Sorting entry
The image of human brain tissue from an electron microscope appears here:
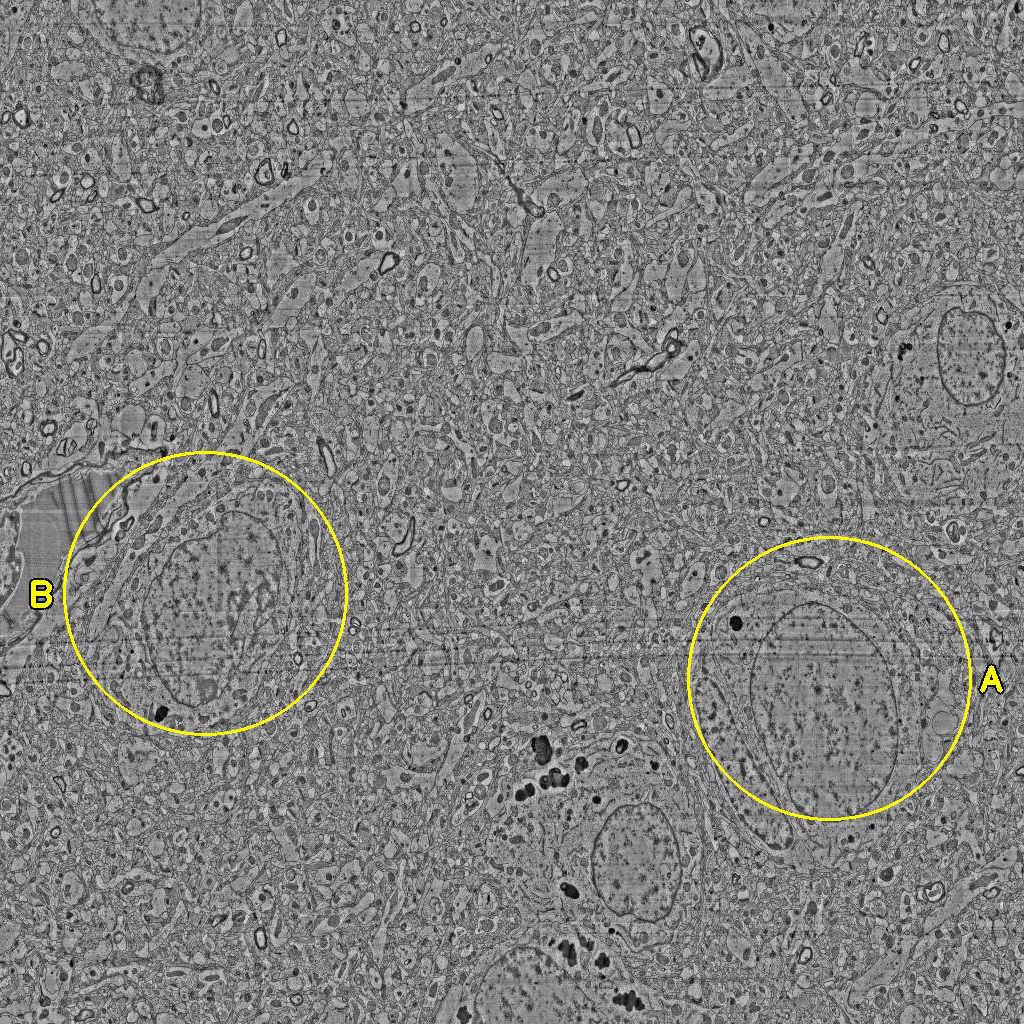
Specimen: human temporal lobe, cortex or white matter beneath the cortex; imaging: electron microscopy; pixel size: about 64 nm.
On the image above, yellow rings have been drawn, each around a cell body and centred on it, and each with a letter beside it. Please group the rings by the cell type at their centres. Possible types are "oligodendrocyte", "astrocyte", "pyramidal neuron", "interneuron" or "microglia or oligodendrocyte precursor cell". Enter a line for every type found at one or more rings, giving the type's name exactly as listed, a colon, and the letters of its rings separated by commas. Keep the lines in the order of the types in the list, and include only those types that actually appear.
pyramidal neuron: A
interneuron: B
